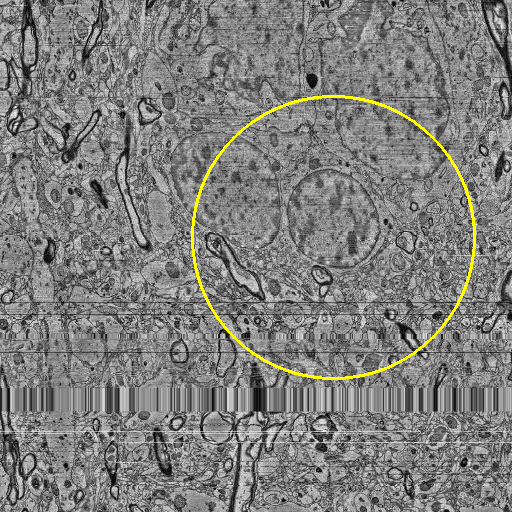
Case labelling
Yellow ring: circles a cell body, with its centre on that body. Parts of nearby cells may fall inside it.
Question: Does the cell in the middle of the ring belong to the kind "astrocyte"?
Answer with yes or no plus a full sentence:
No, in this picture the cell in the middle of the yellow ring belongs to a different kind.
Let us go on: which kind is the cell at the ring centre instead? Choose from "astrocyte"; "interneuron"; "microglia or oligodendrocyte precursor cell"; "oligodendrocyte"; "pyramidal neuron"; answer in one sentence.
Instead, the ringed cell here is an oligodendrocyte.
